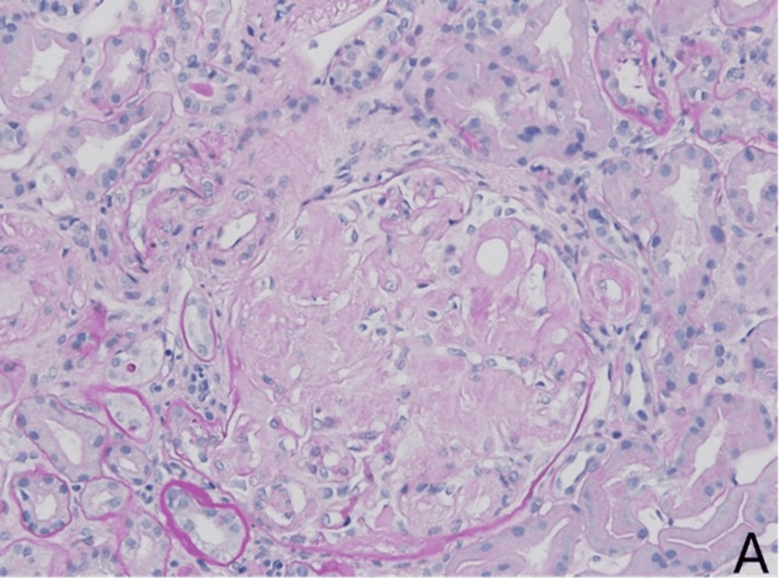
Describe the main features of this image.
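A glomerulus in the centre of the field is expanded and its tuft is largely filled with pale pink, amorphous, nearly acellular material. Only scattered nuclei and a few open capillary loops remain within the tuft, which is enclosed by a thin magenta Bowman's capsule. Around it lie renal tubules with cuboidal epithelial cells, round blue nuclei and sharply outlined magenta basement membranes.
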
